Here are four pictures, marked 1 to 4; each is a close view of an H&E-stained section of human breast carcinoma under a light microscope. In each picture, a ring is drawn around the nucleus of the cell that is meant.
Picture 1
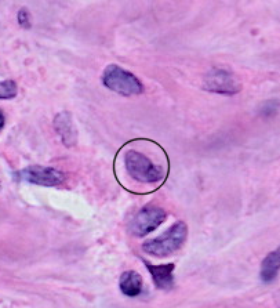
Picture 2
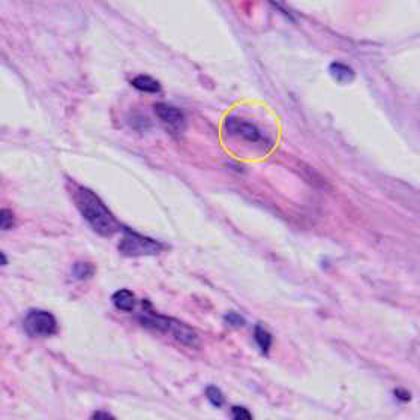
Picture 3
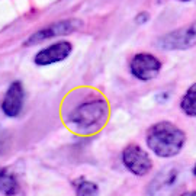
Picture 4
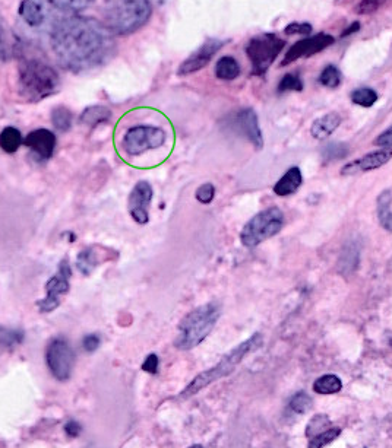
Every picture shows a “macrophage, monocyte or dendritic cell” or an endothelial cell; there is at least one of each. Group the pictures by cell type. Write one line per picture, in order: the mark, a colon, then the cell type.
1: macrophage, monocyte or dendritic cell
2: endothelial cell
3: macrophage, monocyte or dendritic cell
4: macrophage, monocyte or dendritic cell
